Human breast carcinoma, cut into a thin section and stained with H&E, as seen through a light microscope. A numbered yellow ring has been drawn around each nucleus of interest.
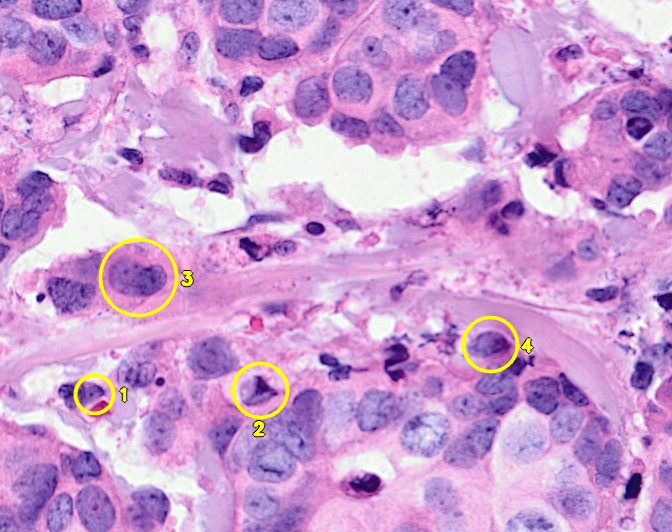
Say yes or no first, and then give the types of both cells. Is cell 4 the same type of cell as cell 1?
No, cell 4 is a carcinoma cell and cell 1 is an endothelial cell.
